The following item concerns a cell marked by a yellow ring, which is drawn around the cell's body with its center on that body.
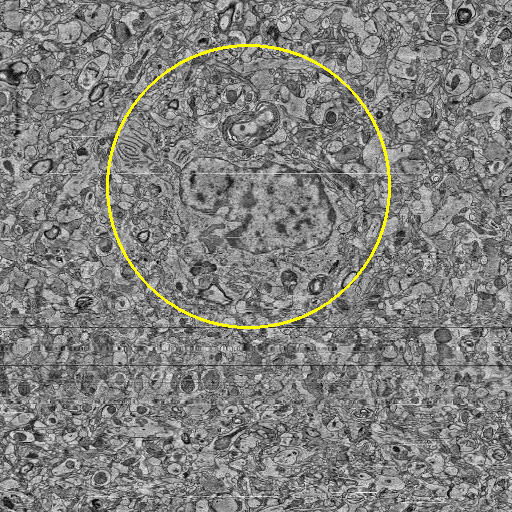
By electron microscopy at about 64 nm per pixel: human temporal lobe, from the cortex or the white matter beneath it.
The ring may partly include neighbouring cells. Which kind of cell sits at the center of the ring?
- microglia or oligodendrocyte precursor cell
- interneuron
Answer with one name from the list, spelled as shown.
microglia or oligodendrocyte precursor cell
